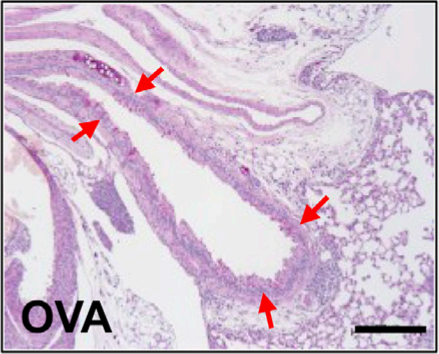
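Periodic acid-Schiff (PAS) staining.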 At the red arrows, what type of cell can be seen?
Mucin-containing epithelial cells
